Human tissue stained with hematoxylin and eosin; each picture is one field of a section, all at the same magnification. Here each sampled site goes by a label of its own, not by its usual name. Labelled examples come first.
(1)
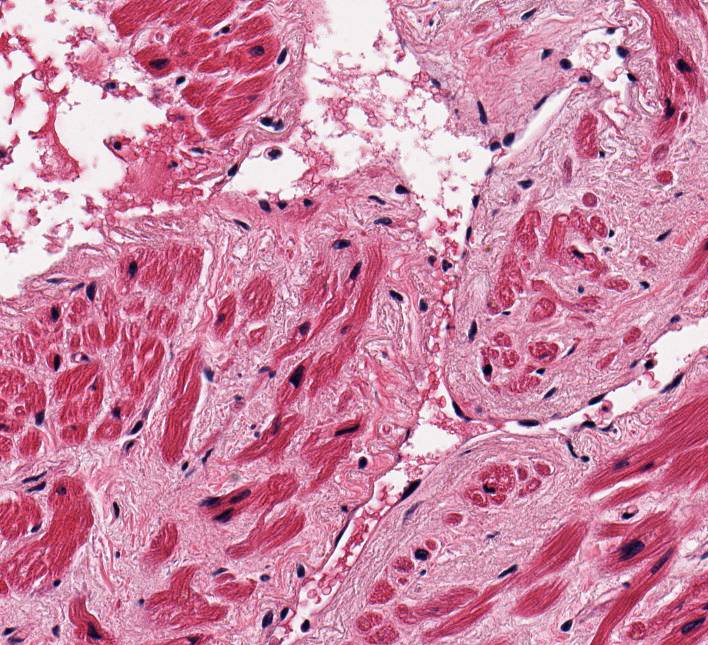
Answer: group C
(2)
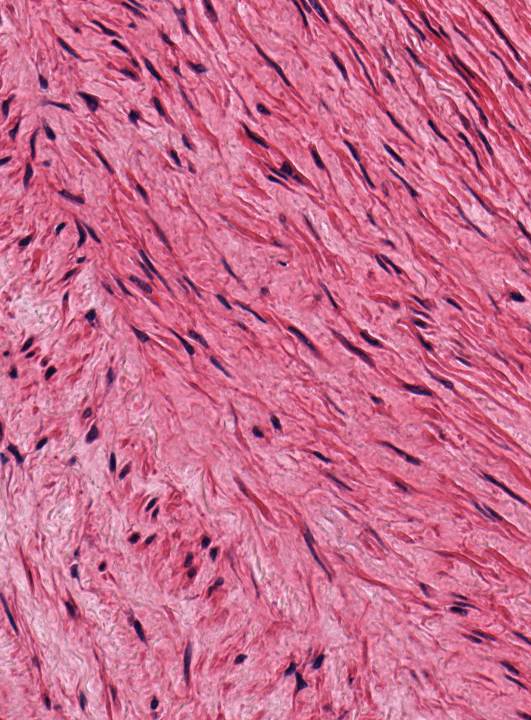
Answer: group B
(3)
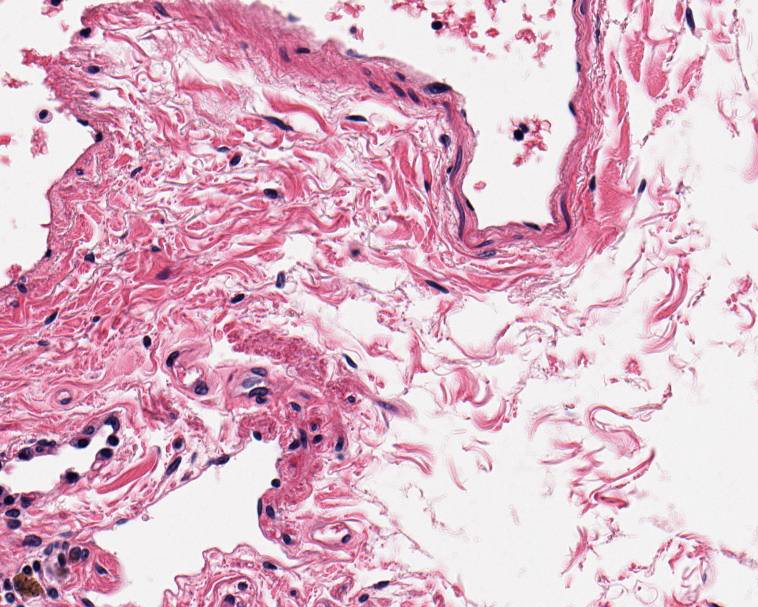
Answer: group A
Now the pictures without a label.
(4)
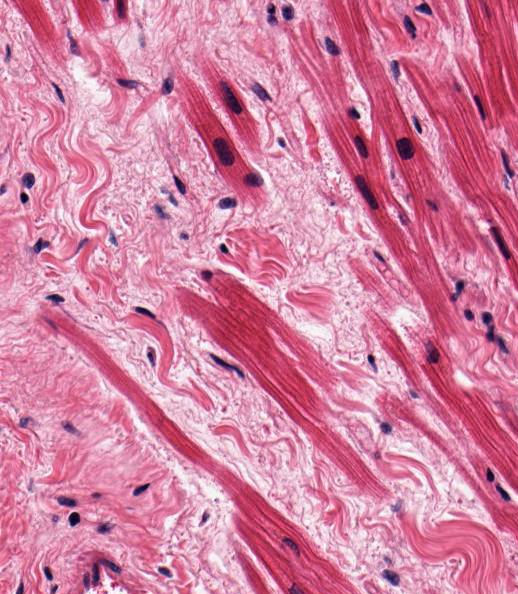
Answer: group C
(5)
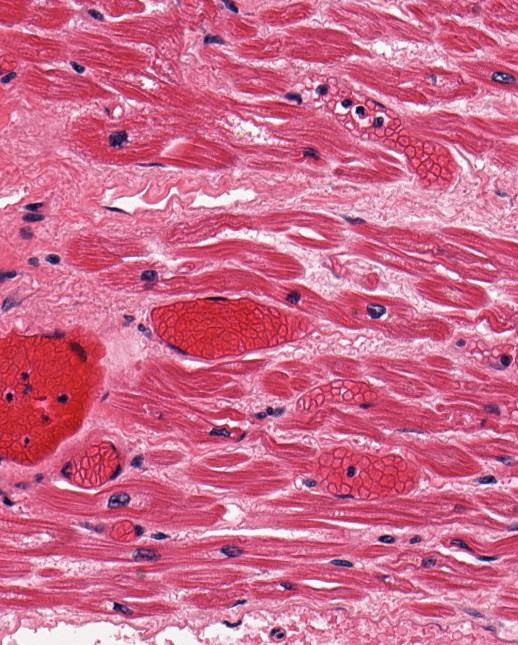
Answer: group C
